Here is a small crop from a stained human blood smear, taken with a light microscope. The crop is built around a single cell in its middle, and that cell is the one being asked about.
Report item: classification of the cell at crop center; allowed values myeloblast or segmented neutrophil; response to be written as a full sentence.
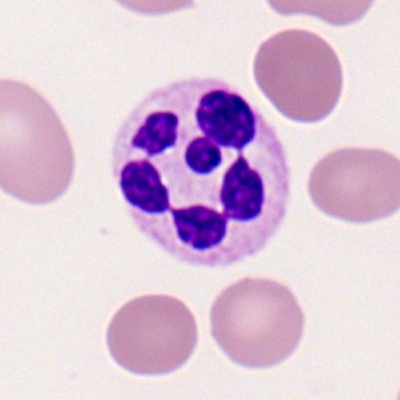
Classified as a segmented neutrophil is the cell in the middle of this crop.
